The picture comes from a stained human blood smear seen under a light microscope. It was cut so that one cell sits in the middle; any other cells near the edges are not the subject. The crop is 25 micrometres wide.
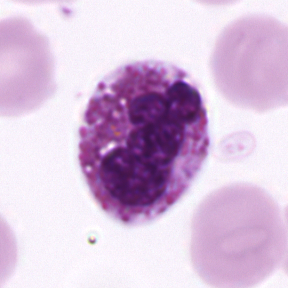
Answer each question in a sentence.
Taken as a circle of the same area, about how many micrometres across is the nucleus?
About 8 micrometres: that is the diameter of the nucleus.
